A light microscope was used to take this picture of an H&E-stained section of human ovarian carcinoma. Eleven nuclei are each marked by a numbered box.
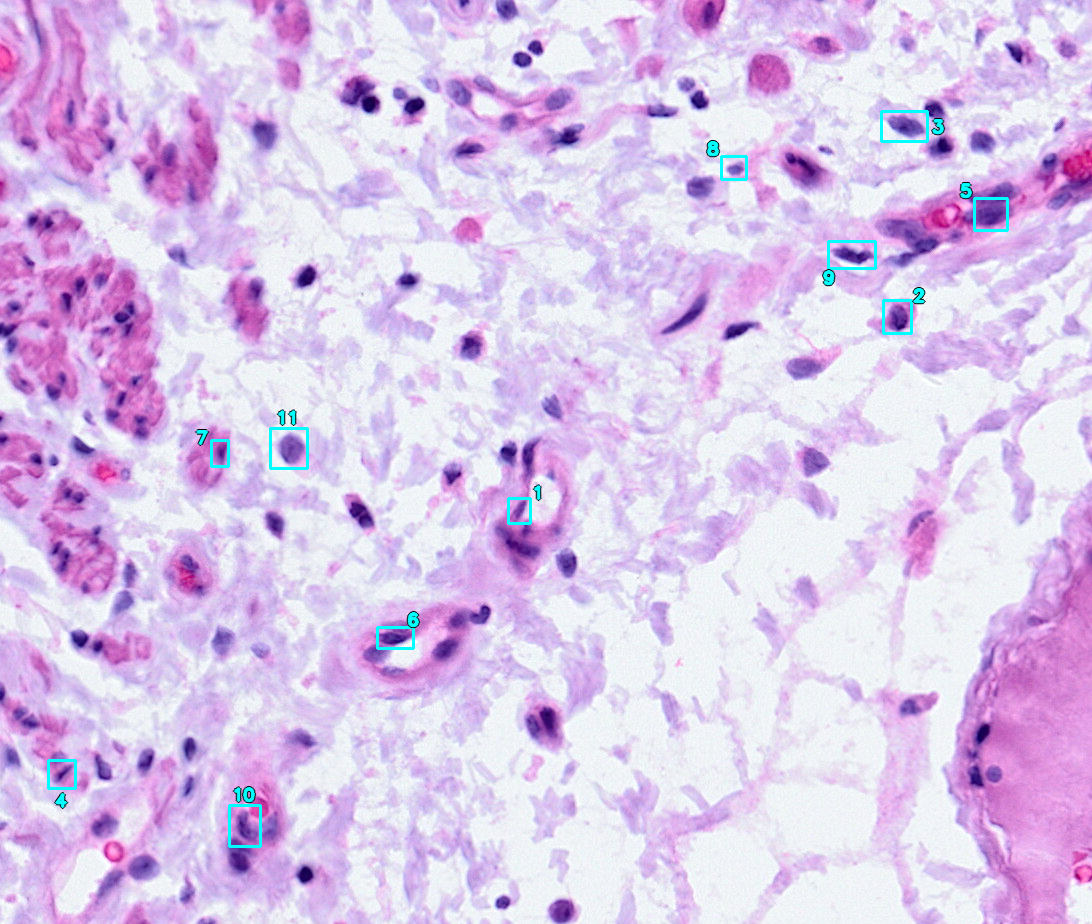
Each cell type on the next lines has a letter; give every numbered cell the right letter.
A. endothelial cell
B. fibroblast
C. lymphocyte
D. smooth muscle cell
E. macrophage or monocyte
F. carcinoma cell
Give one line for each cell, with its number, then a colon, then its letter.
1: A
2: E
3: B
4: D
5: A
6: A
7: D
8: C
9: B
10: A
11: B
